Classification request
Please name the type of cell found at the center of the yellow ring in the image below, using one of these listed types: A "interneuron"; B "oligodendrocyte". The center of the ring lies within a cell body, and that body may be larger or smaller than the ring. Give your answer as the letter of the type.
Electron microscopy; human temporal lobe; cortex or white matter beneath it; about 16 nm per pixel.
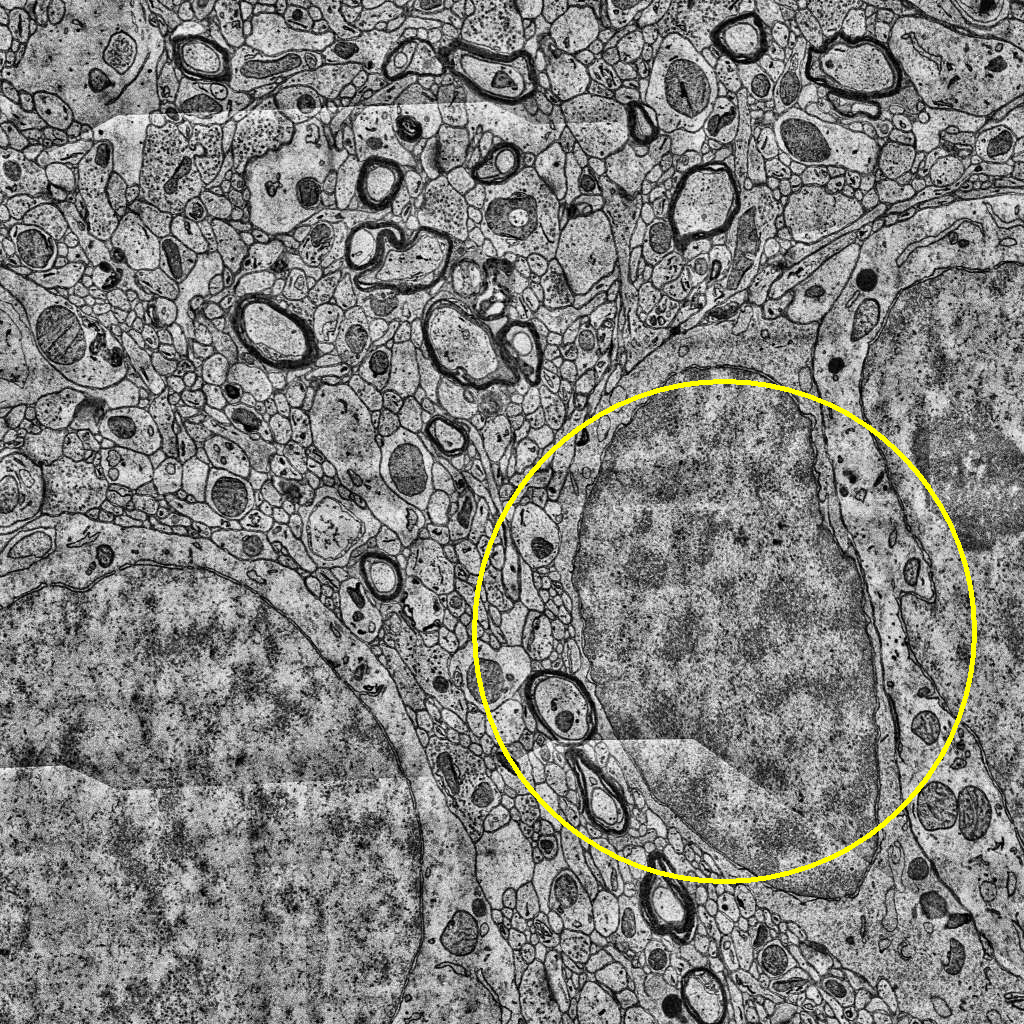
B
